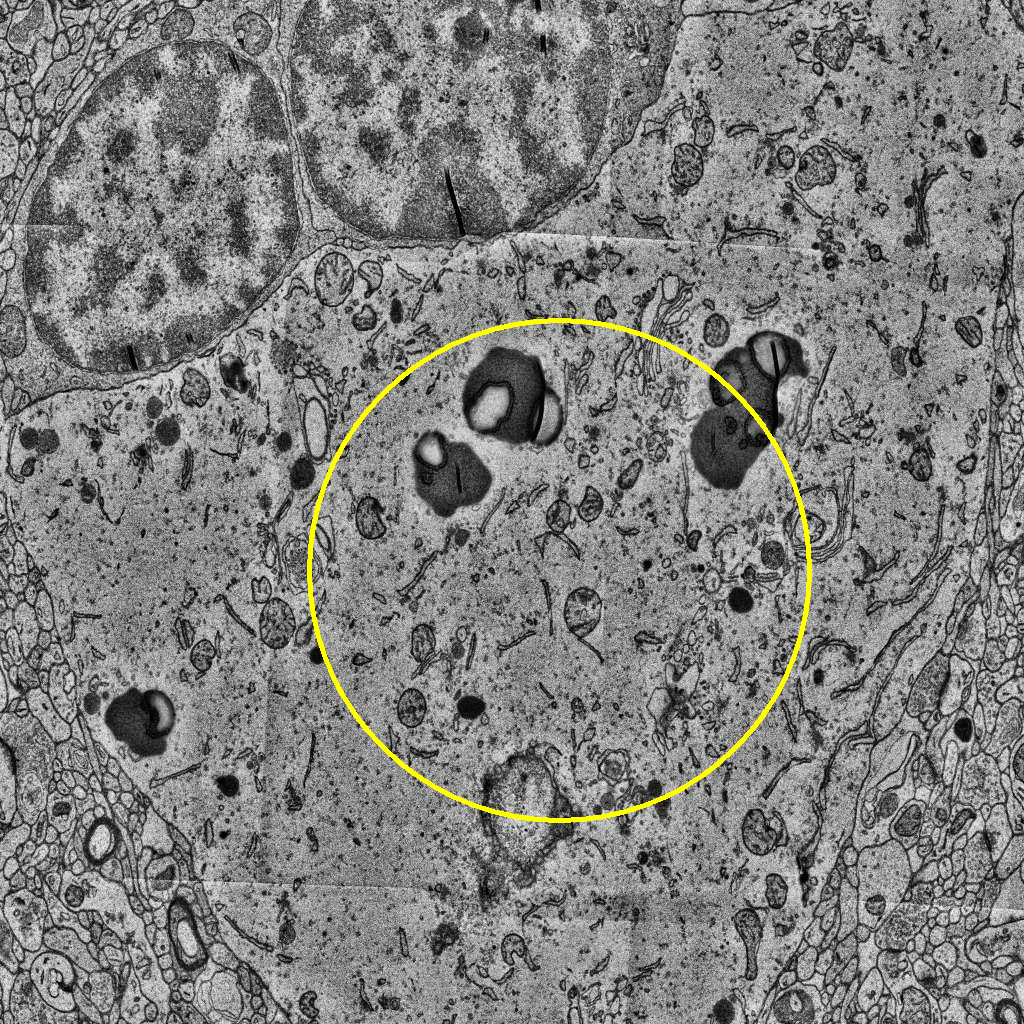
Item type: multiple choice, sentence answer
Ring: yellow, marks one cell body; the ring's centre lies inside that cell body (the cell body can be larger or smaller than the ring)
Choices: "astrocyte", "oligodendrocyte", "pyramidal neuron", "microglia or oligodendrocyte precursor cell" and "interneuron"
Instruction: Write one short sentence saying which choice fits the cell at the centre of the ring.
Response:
The centre of this ring lies on a pyramidal neuron.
